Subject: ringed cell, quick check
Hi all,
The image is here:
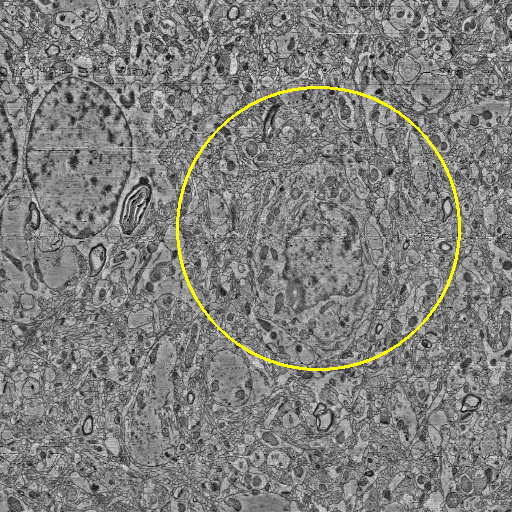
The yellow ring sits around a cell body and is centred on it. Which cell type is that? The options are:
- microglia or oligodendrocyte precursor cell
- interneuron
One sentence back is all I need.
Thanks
That ringed cell is an interneuron.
